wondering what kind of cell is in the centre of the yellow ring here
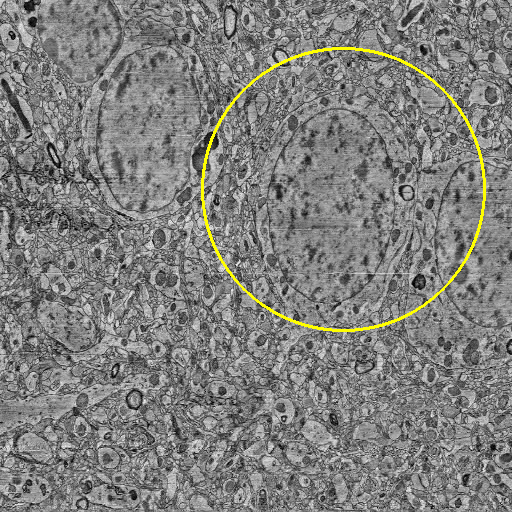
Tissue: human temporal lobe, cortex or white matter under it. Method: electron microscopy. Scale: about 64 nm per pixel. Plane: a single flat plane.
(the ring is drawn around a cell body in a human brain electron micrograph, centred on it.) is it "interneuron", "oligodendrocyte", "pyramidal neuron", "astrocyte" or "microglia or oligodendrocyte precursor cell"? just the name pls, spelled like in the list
pyramidal neuron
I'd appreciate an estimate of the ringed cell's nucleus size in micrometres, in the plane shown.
In this plane the nucleus is clearly longer than it is wide, at approximately 13 by 8 micrometres.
